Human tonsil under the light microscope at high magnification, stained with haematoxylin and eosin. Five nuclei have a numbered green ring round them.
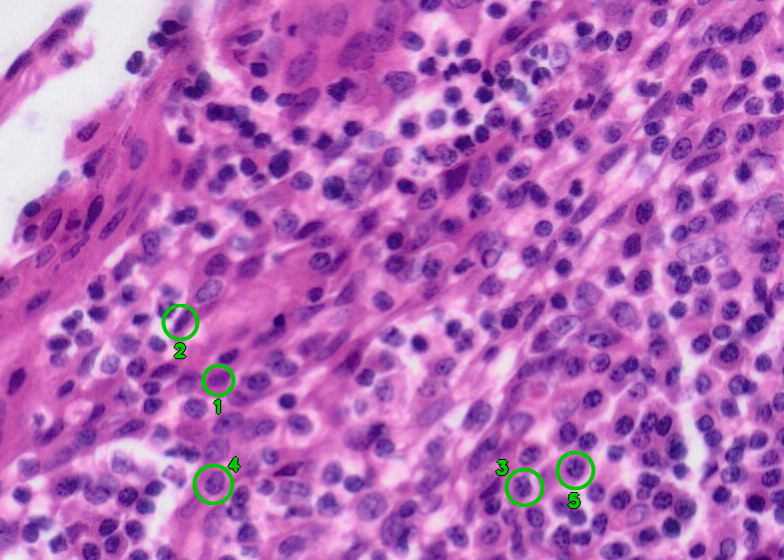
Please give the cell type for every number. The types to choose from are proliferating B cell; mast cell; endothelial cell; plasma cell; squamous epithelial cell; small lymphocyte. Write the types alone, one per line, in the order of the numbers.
squamous epithelial cell
squamous epithelial cell
plasma cell
squamous epithelial cell
plasma cell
